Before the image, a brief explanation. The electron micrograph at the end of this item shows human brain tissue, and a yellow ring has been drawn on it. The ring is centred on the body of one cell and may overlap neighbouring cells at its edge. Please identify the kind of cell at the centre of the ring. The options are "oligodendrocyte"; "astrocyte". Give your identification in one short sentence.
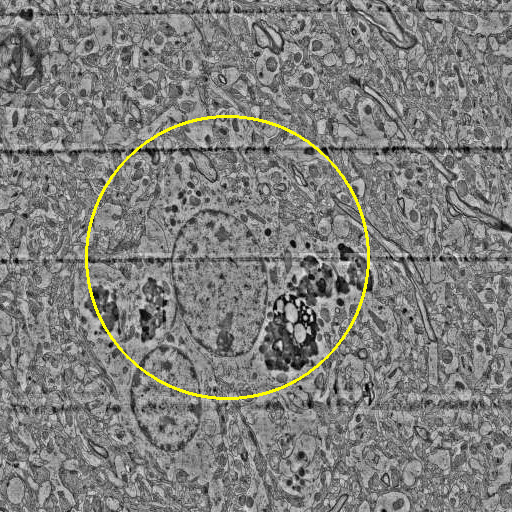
The ring has been placed around an astrocyte.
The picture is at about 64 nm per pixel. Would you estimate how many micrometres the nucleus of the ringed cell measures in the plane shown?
Roughly 9 by 6 micrometers, clearly longer than it is wide in this plane.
